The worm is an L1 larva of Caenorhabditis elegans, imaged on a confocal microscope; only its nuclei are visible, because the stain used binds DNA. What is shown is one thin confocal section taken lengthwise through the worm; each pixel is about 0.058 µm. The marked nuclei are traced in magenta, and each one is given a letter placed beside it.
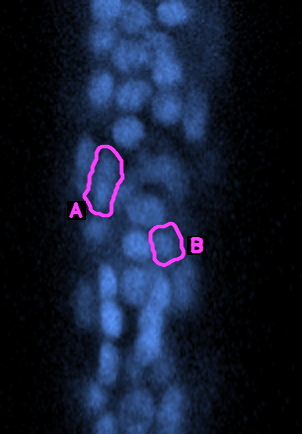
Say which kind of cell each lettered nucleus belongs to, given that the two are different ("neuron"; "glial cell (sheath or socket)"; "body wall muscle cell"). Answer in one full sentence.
A is in a glial cell (sheath or socket) and B is in a neuron.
